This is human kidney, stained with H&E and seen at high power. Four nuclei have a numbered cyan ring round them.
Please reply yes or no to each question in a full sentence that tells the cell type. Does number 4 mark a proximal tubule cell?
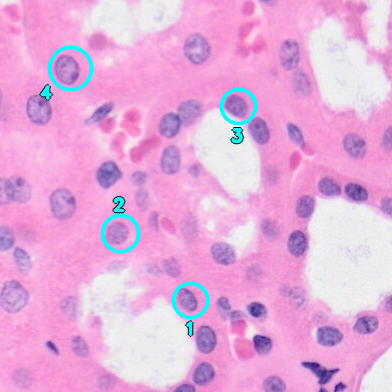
Yes, that one, number 4, is a proximal tubule cell.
